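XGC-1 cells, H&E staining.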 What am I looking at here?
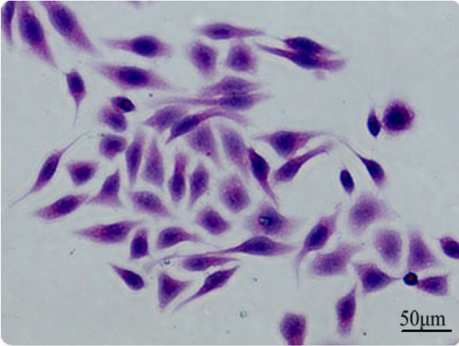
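Most cells are spindle-shaped to polygonal, several with one or two tapering processes, and a few are small and rounded with darker staining. The cytoplasm stains a light pink-violet. The cells do not form a continuous sheet; gaps of empty background separate the groups.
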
